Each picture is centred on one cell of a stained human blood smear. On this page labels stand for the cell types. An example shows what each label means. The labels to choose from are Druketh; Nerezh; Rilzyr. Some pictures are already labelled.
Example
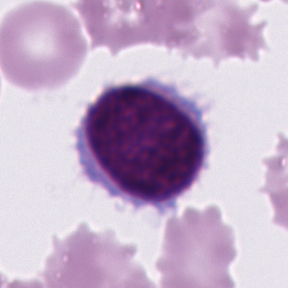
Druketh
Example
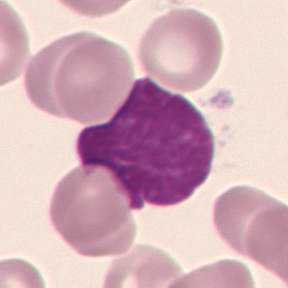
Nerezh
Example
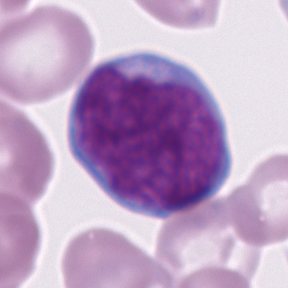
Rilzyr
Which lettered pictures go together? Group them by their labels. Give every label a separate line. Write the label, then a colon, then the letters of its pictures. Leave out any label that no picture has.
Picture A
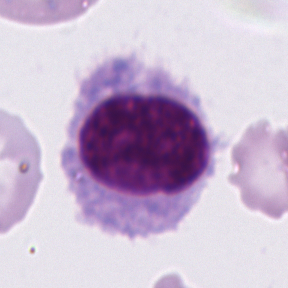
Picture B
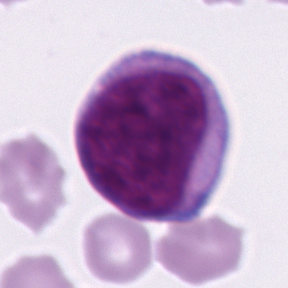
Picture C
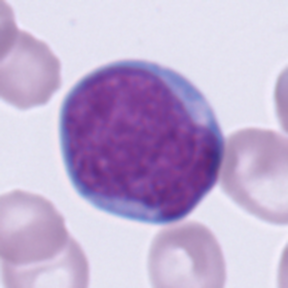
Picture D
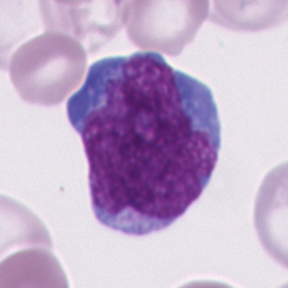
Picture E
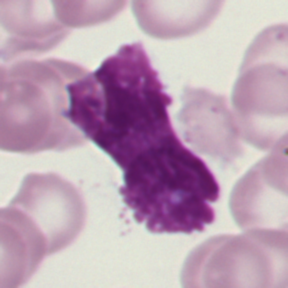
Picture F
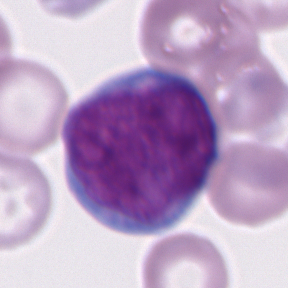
Druketh: A
Nerezh: E
Rilzyr: B, C, D, F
